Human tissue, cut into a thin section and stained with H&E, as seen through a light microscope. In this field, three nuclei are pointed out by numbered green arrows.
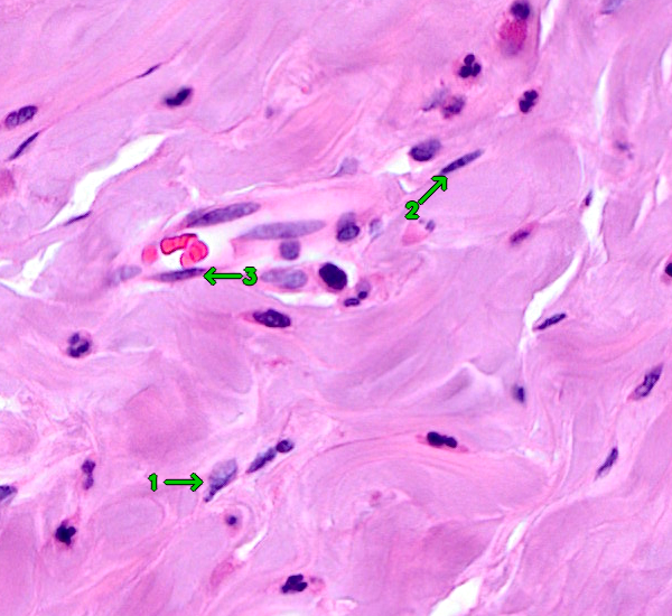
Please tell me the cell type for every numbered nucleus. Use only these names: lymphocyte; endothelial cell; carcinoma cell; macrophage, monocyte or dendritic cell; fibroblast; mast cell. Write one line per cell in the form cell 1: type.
cell 1: fibroblast
cell 2: fibroblast
cell 3: endothelial cell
